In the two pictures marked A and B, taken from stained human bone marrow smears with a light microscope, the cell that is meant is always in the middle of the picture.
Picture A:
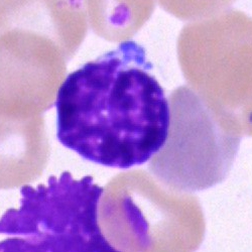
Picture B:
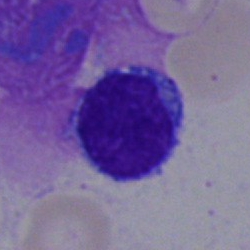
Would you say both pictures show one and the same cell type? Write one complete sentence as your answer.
Yes; the cells in both pictures are lymphocytes.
